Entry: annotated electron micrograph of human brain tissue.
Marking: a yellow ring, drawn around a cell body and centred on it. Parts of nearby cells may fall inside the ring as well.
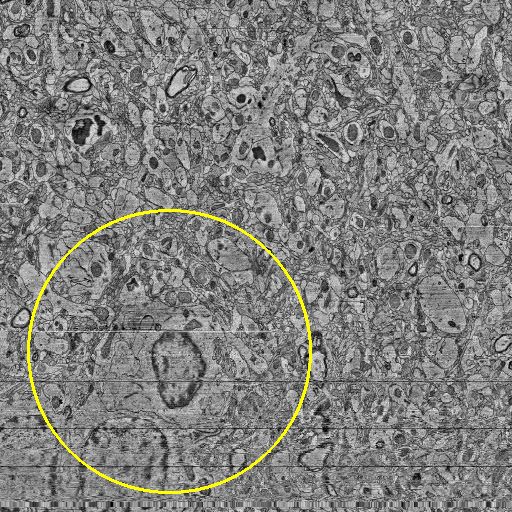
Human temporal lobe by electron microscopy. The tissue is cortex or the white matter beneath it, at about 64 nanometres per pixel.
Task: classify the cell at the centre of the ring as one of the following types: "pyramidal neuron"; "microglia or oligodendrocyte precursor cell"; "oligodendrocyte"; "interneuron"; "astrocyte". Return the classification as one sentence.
The marked cell is classified as an astrocyte.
